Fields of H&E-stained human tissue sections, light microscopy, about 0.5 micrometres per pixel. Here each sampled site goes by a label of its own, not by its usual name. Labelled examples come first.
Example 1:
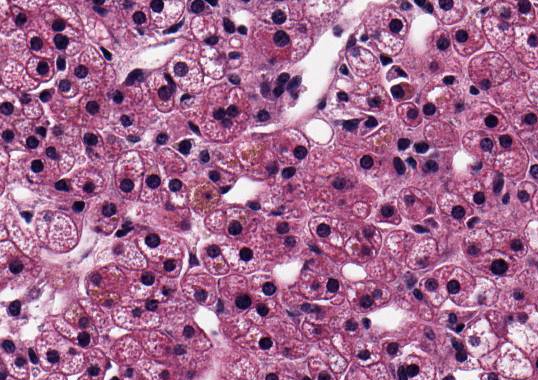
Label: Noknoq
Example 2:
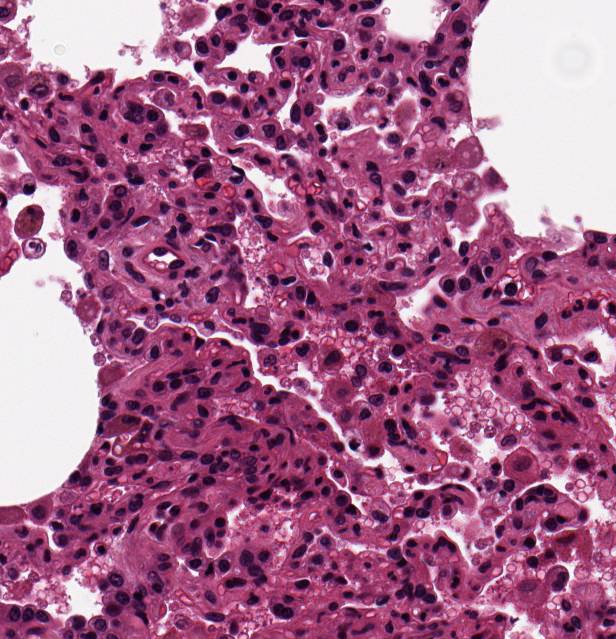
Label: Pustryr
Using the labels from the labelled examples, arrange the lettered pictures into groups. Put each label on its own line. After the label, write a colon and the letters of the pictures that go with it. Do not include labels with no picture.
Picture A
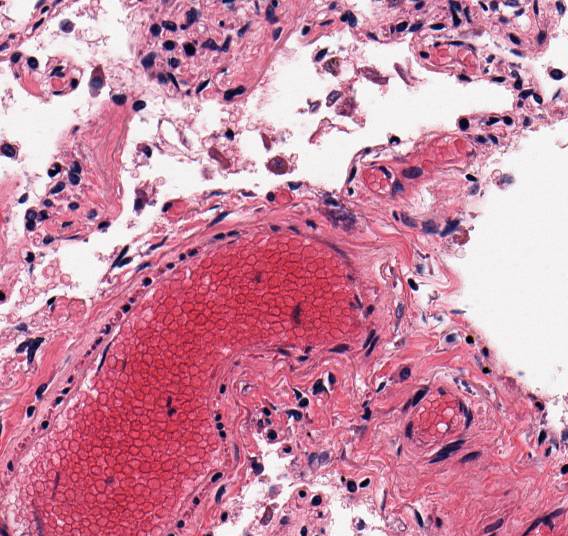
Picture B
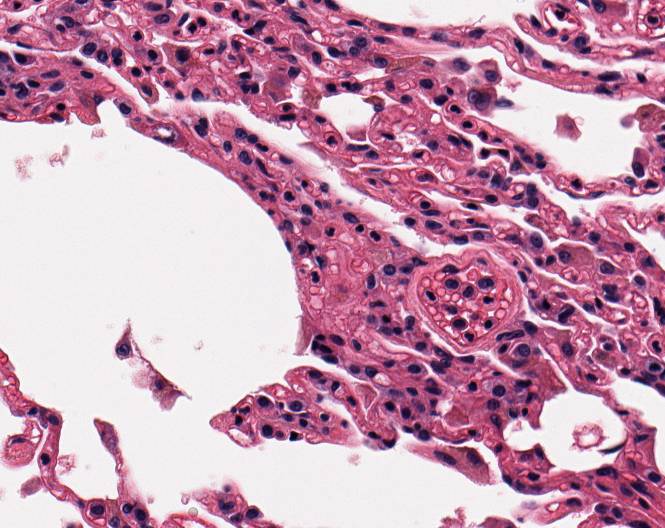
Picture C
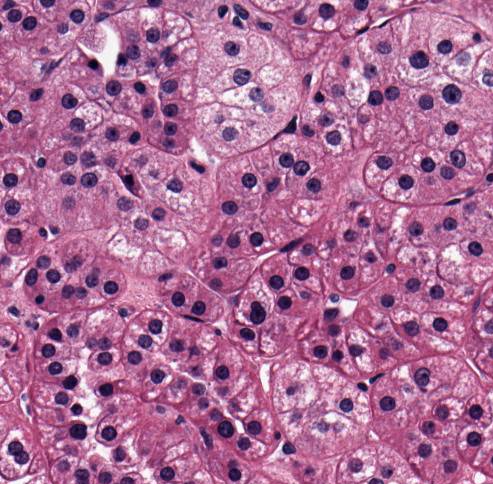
Noknoq: C
Pustryr: A, B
